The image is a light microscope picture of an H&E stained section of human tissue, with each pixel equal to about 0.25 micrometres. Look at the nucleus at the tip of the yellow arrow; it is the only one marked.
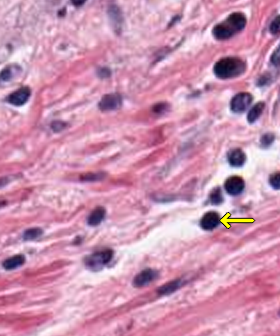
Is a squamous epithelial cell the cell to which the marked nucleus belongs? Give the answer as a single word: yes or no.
no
